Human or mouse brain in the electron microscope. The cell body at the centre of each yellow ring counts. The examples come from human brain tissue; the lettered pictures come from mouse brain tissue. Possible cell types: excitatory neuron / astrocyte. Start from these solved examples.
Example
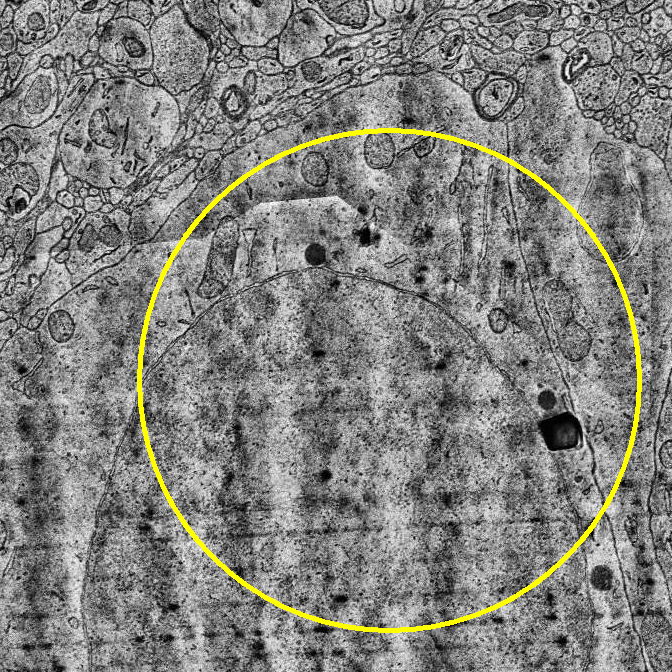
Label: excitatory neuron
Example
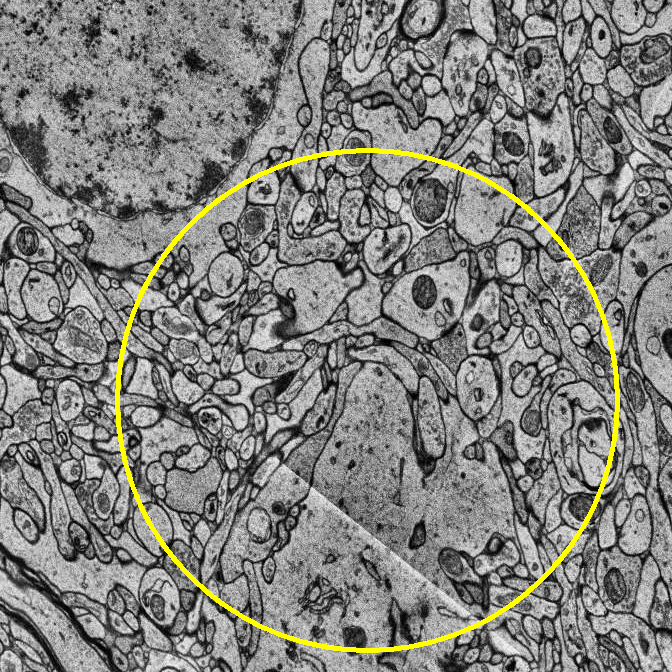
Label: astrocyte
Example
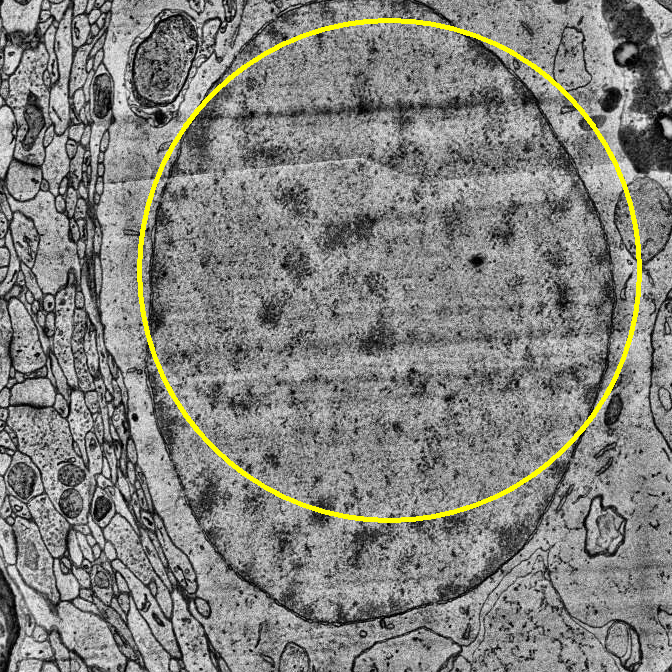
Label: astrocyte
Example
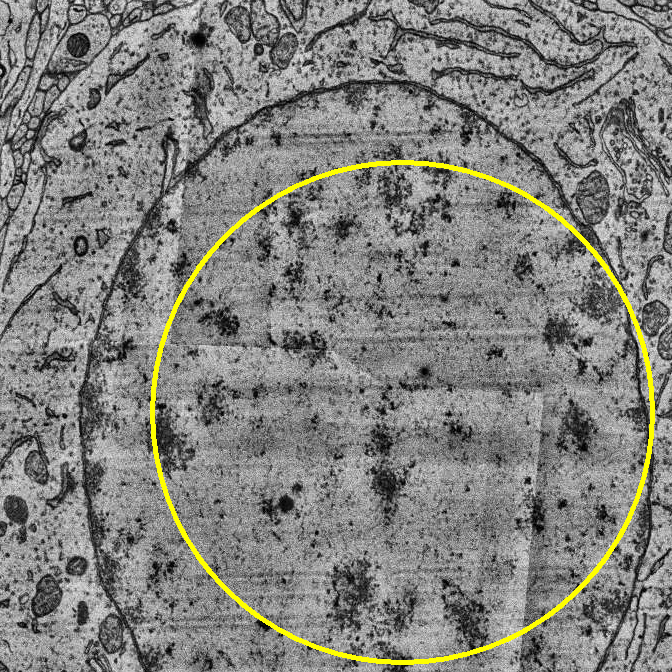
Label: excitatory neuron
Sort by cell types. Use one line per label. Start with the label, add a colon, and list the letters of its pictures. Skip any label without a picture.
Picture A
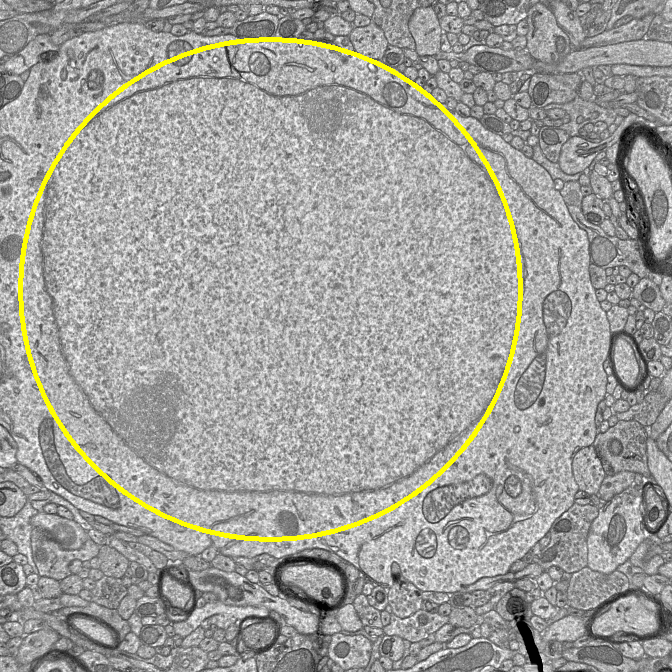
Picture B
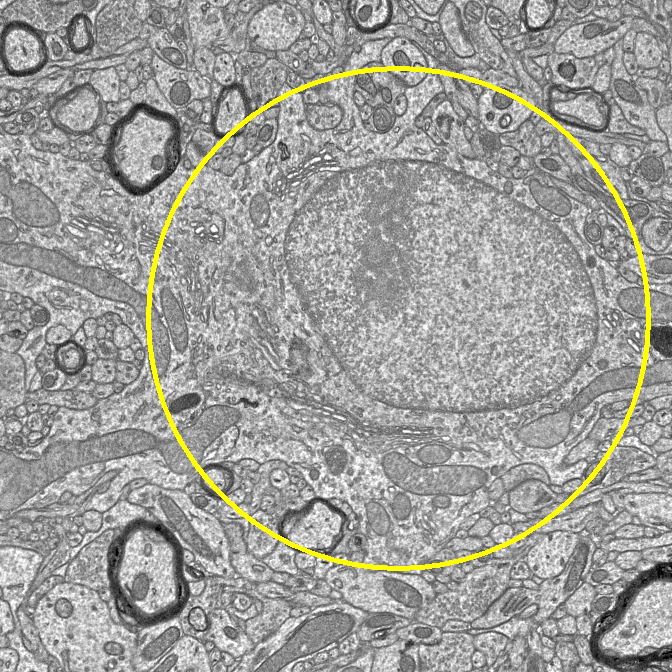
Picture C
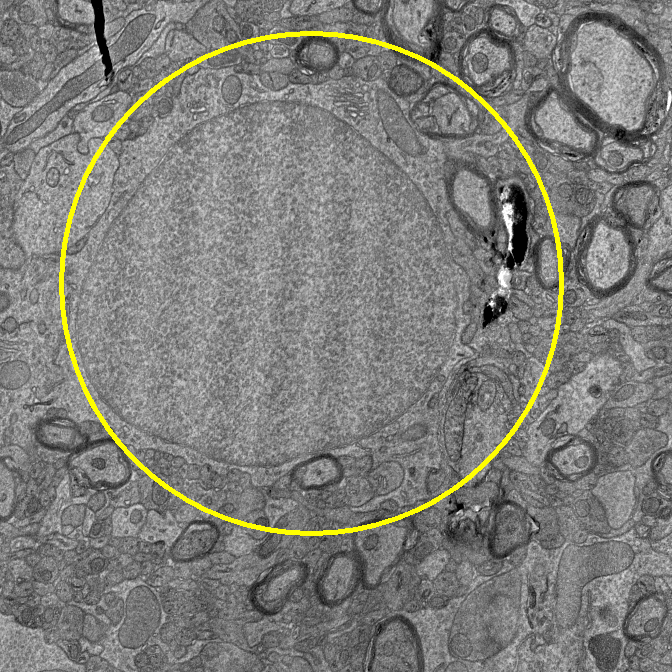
excitatory neuron: A
astrocyte: B, C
